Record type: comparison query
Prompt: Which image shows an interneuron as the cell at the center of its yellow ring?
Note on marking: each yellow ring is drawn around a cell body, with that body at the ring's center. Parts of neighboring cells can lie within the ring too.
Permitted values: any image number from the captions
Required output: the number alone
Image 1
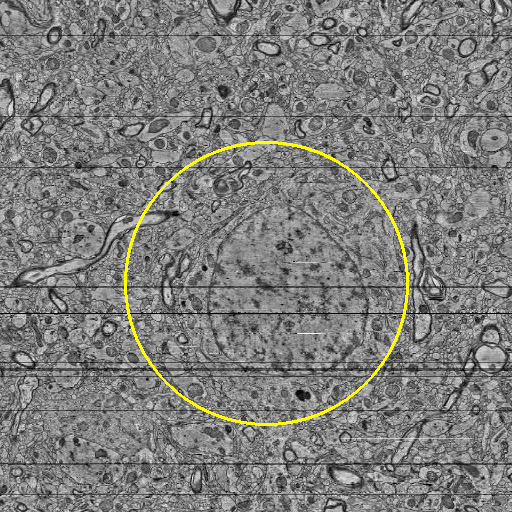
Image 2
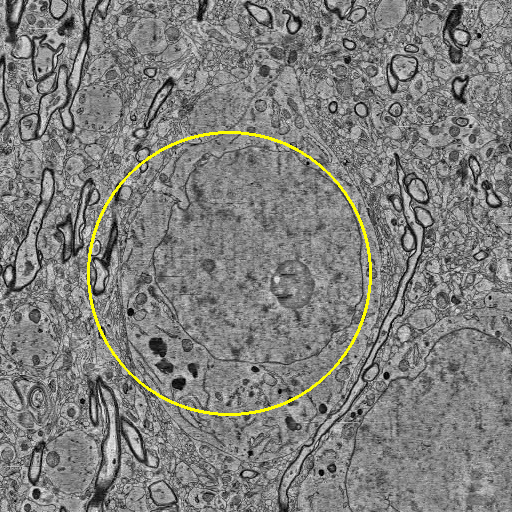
1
